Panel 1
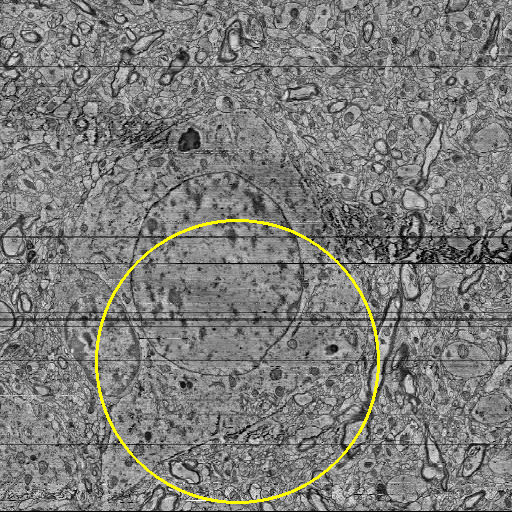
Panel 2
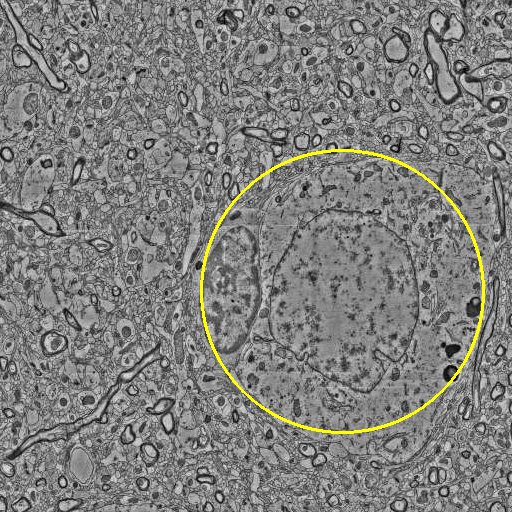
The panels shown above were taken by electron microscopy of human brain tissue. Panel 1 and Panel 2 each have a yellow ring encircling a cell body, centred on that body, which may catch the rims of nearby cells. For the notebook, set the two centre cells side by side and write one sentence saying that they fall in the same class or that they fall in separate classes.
The centred cells of Panel 1 and Panel 2 fall in the same class.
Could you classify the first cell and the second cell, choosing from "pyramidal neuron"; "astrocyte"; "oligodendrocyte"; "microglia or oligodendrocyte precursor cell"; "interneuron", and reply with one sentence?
Each cell at the centre of a ring is a pyramidal neuron.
